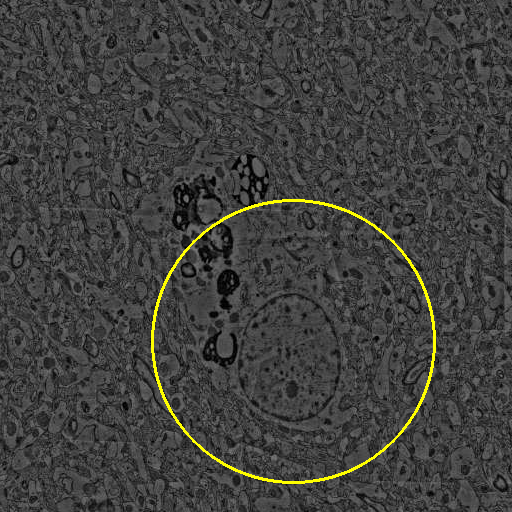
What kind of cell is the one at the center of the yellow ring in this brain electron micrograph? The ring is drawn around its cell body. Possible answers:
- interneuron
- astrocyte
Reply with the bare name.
astrocyte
